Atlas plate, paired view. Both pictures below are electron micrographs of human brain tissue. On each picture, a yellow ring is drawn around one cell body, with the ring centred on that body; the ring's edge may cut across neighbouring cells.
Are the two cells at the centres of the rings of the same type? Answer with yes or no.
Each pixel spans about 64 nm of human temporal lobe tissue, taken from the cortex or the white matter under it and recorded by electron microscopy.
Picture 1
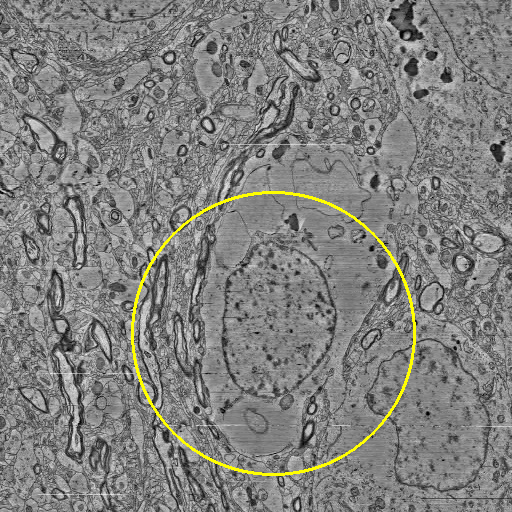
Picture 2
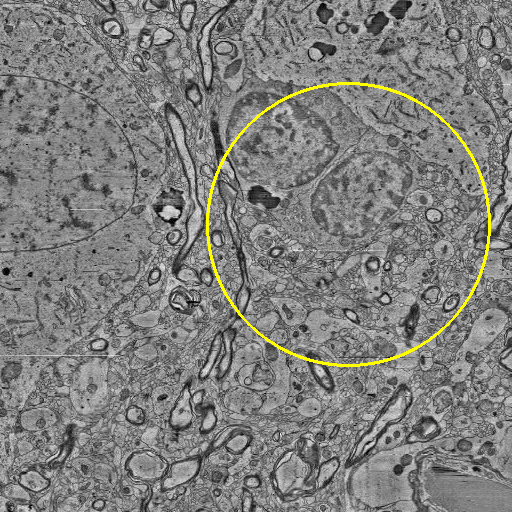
no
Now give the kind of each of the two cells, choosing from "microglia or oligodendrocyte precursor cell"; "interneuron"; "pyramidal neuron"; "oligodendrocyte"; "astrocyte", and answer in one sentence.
The cell in the first picture is an astrocyte, and the cell in the second is an oligodendrocyte.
